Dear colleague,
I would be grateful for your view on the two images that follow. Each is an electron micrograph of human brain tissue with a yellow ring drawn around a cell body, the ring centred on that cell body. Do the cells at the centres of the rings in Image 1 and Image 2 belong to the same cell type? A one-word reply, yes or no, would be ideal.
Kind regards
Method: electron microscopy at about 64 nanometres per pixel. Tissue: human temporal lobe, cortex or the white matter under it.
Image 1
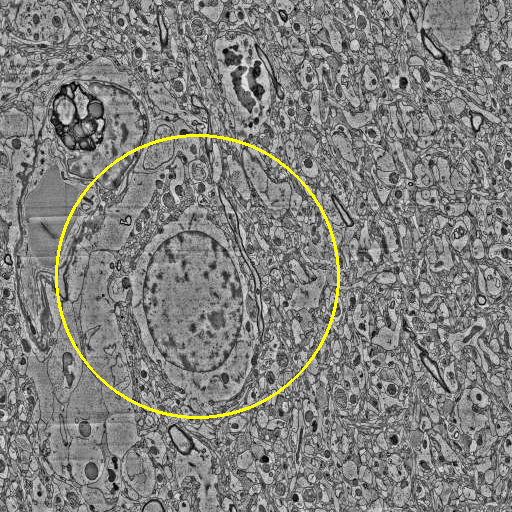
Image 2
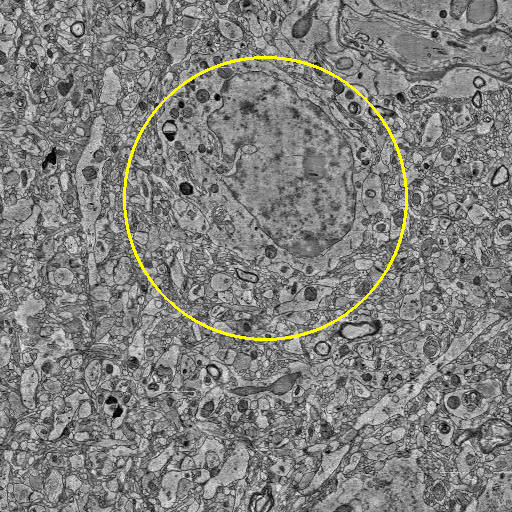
no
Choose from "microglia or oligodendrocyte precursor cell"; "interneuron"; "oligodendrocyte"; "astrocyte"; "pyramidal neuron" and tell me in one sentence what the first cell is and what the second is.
What the first ring is centred on is an astrocyte; what the second ring is centred on is an interneuron.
